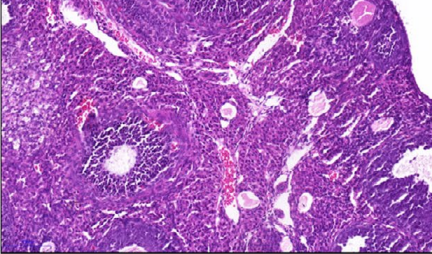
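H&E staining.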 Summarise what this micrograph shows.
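The follicles have small cavities surrounded by thick walls of many layers of closely packed, dark-nucleated granulosa cells. Small blood vessels containing red blood cells run through the stroma between the follicles.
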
